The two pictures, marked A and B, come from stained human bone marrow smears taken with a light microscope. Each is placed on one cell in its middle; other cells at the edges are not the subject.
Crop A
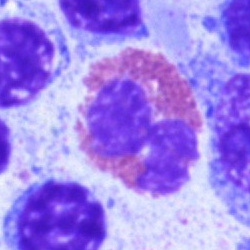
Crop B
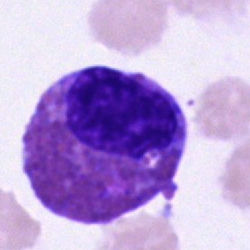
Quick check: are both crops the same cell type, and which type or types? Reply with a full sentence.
Yes, in both of the crops, the central cells are eosinophils.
